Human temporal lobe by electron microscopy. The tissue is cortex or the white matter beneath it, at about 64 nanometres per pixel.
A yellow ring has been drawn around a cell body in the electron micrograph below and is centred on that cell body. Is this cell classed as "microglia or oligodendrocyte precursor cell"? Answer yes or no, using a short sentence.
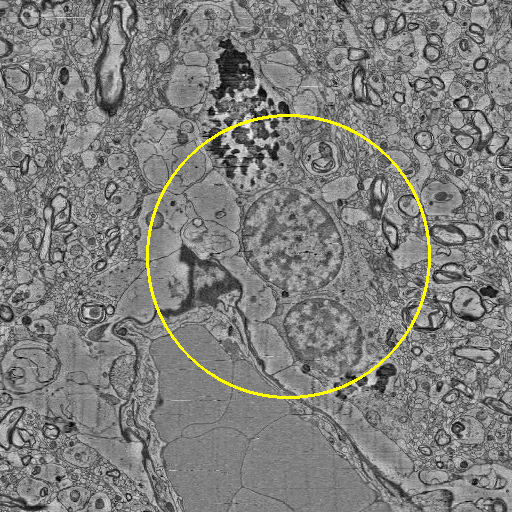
No, it is classed as another kind.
